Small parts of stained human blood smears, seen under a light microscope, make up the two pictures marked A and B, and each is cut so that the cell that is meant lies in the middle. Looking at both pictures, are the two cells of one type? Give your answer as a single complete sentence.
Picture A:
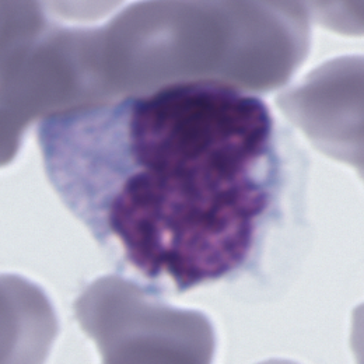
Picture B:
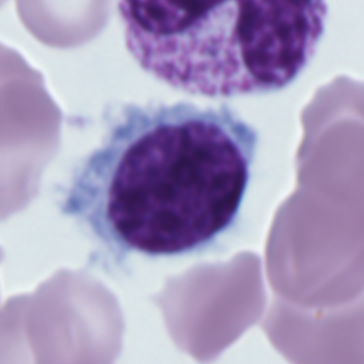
No. Picture A shows a monocyte, but picture B shows a hairy cell.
